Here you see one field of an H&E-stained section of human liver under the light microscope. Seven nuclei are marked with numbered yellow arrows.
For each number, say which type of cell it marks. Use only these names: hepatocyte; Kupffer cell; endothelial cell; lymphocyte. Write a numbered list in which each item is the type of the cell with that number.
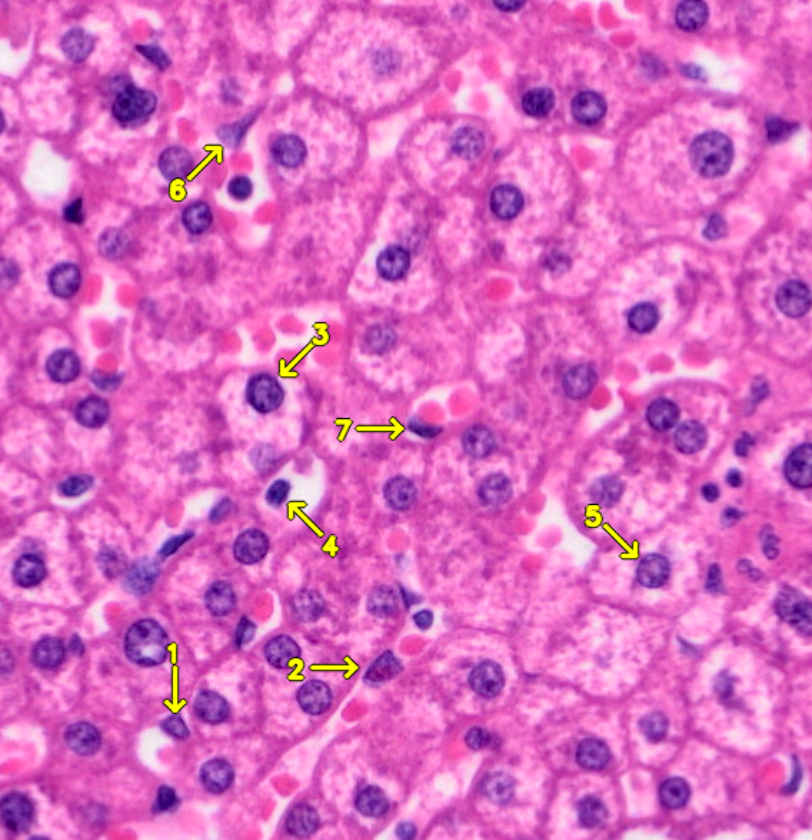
1. Kupffer cell
2. endothelial cell
3. hepatocyte
4. lymphocyte
5. hepatocyte
6. Kupffer cell
7. endothelial cell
